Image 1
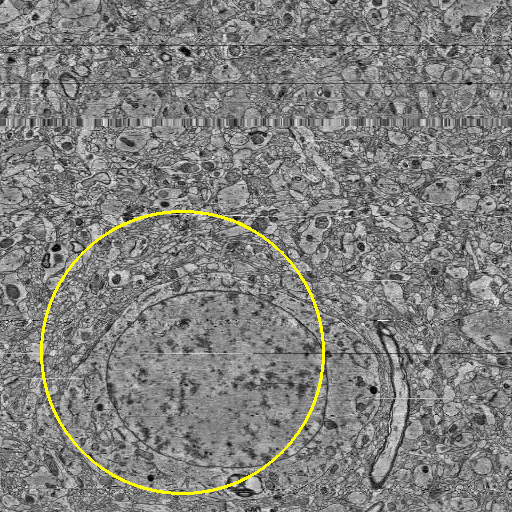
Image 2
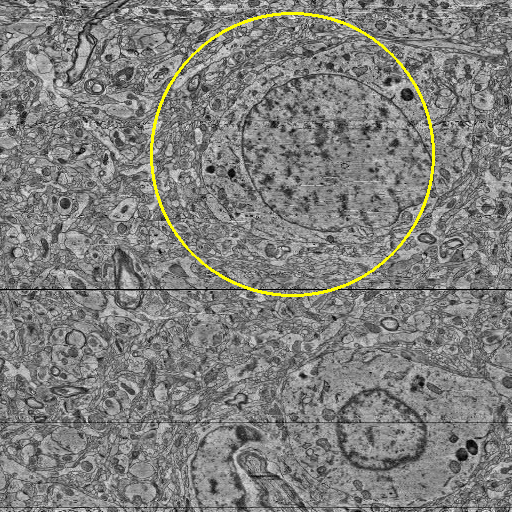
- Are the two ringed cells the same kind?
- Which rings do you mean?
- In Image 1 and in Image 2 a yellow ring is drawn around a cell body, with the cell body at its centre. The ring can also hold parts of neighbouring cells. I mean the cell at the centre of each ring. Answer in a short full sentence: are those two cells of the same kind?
Yes, both cells are of the same kind.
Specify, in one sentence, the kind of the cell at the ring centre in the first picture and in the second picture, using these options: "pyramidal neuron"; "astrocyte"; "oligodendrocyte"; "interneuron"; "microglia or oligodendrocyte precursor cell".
Each of the ringed cells, first and second, is a pyramidal neuron.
